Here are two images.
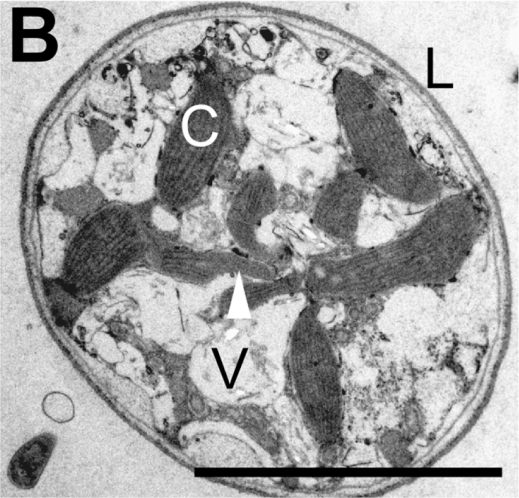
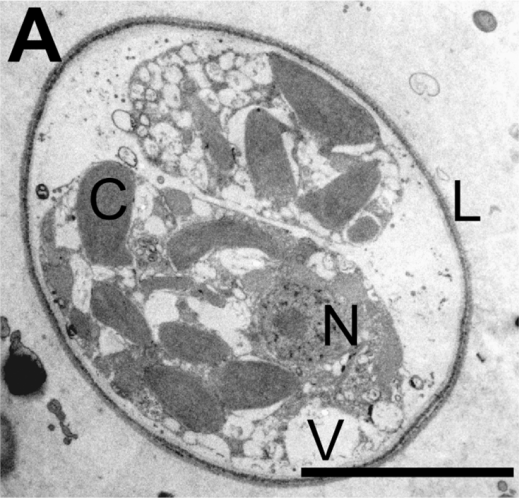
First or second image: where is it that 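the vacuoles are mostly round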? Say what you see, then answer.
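The second image. First image: the pale vacuoles have irregular, angular outlines. Second image: many small round vacuoles form a cluster in the upper cell.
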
